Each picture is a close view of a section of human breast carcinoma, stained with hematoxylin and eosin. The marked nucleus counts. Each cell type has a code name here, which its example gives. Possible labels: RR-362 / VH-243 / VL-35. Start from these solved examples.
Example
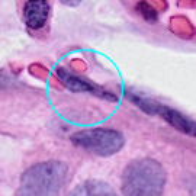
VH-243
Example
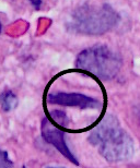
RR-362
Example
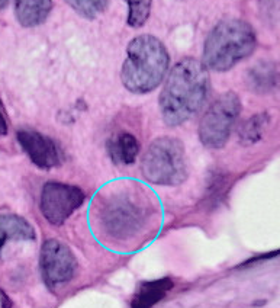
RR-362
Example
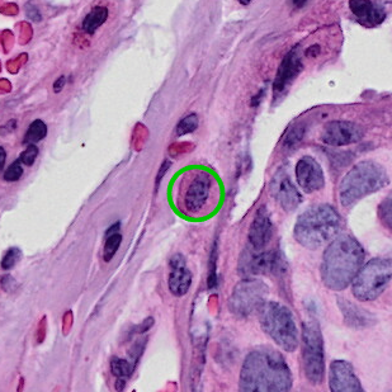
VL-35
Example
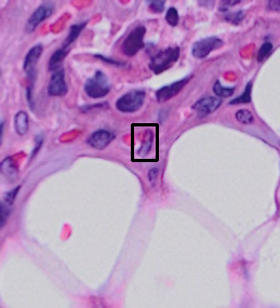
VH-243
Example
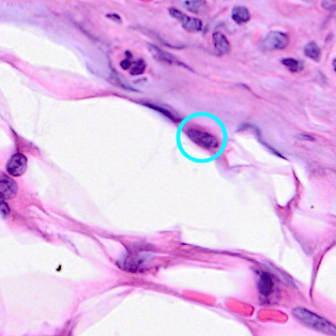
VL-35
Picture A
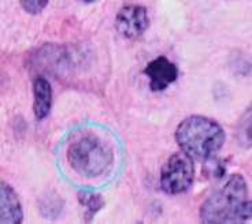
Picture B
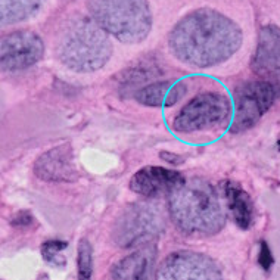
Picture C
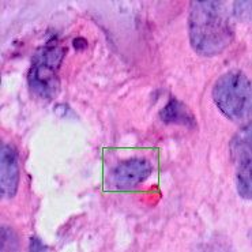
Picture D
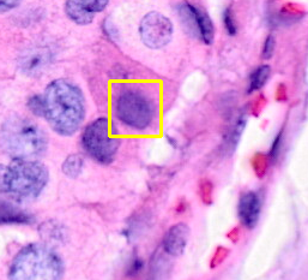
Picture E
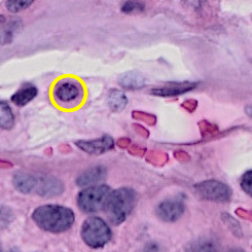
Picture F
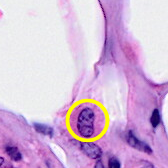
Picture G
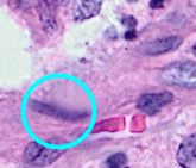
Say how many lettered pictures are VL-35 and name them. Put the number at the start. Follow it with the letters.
Count: 2 (E, F)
